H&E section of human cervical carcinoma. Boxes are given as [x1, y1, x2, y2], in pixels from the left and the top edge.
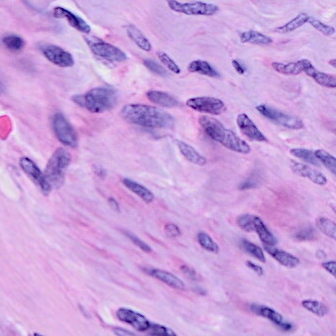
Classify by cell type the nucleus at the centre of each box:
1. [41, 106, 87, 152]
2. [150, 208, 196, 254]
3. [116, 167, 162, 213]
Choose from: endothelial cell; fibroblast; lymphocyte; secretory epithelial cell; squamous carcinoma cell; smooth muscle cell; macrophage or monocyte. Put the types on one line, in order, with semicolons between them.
endothelial cell; smooth muscle cell; smooth muscle cell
